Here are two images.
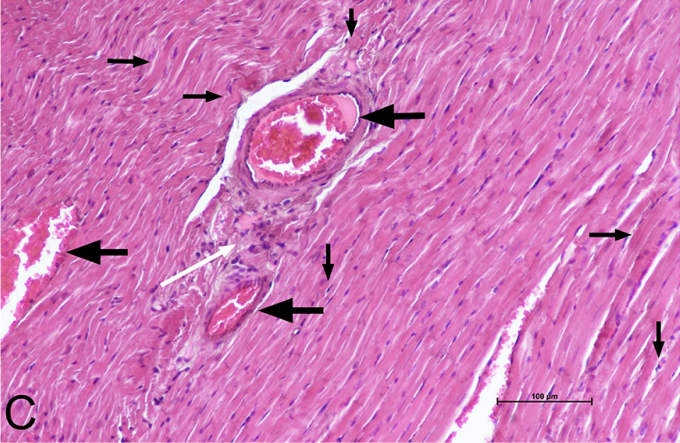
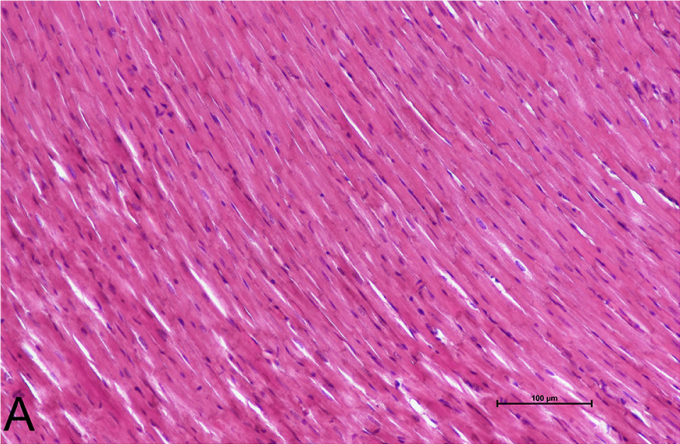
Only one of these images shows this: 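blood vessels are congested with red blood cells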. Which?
The first image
